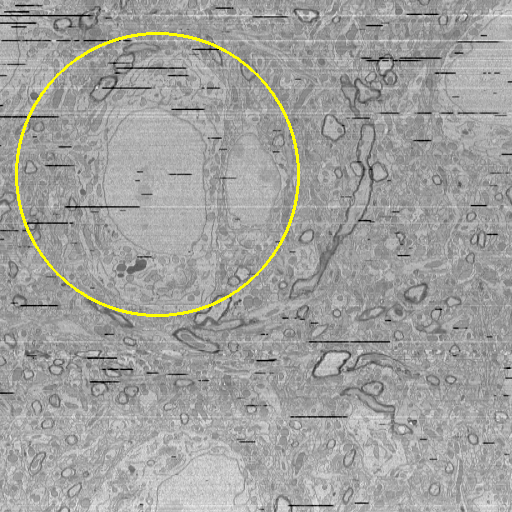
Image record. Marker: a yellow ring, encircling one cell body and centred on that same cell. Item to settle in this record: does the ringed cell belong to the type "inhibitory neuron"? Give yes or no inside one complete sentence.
Yes, in the picture, the cell centred within the yellow ring is of the stated type.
